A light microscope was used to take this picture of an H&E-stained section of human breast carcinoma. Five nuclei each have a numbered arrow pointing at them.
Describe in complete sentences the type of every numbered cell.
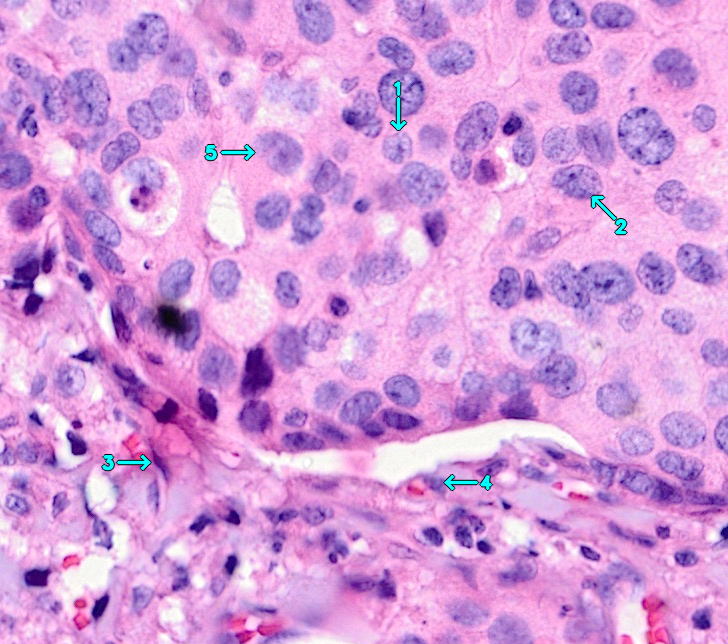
Cell 1 is a carcinoma cell, cell 2 is a carcinoma cell, cell 3 is an endothelial cell, cell 4 is an endothelial cell and cell 5 is a carcinoma cell.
